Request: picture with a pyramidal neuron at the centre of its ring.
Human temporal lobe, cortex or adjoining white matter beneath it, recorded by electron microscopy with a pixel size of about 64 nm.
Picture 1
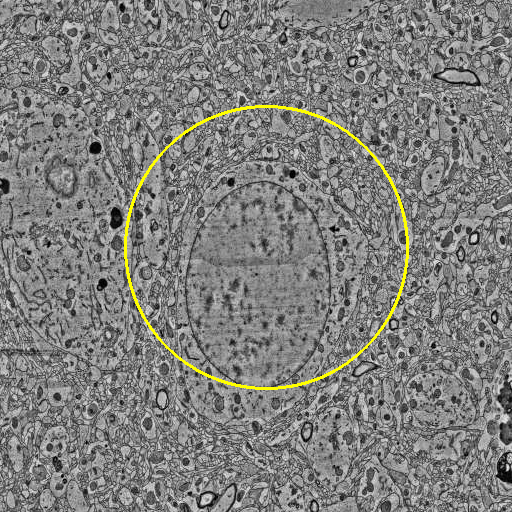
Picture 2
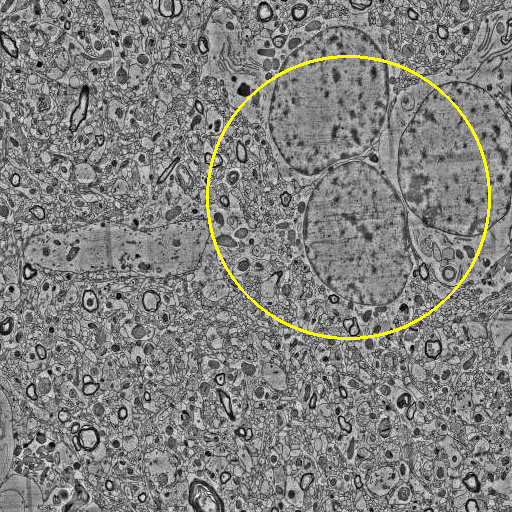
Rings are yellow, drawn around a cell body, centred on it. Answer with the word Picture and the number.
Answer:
Picture 1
